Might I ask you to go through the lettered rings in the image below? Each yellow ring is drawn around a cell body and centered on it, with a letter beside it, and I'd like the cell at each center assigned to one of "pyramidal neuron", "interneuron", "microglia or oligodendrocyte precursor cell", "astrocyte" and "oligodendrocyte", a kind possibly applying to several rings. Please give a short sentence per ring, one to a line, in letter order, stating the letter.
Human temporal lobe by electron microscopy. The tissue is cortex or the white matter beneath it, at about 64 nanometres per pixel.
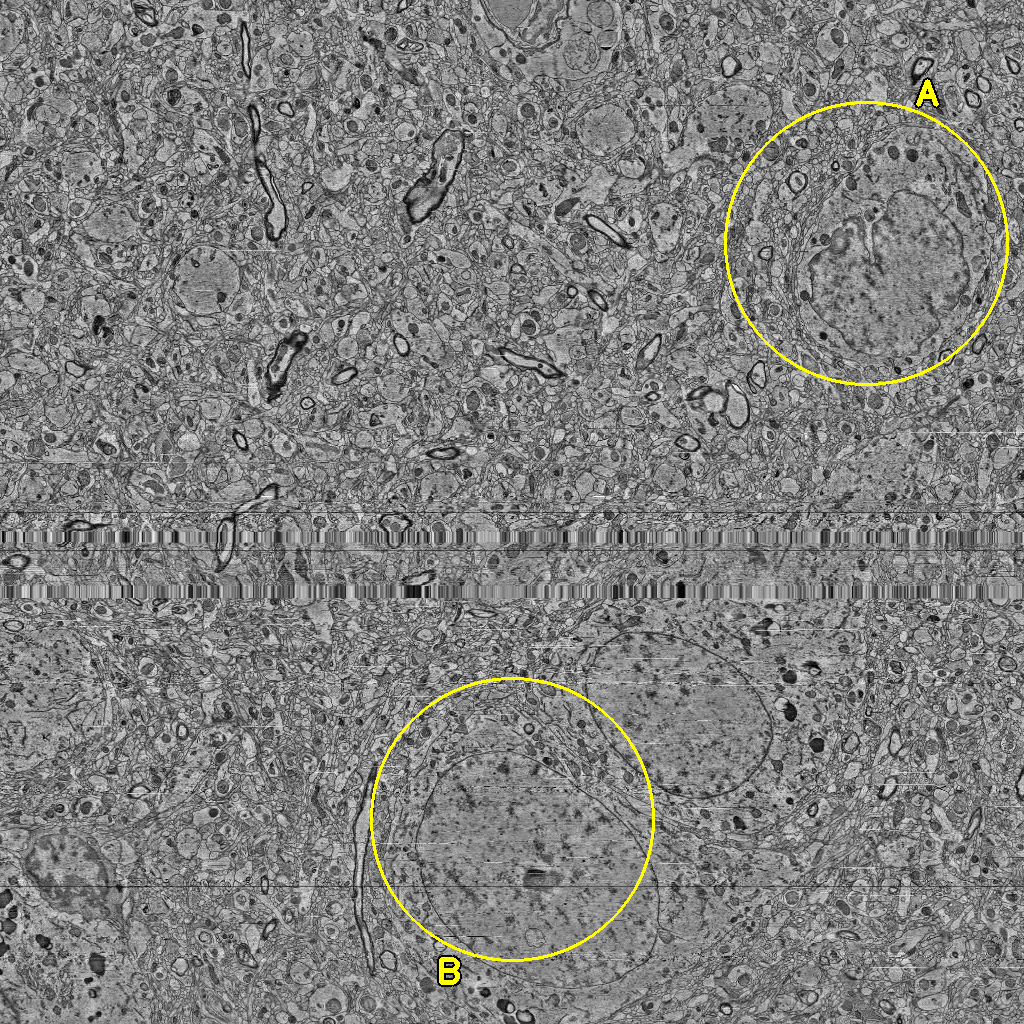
Ring A is centered on the body of an interneuron.
Ring B is centered on the body of a pyramidal neuron.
